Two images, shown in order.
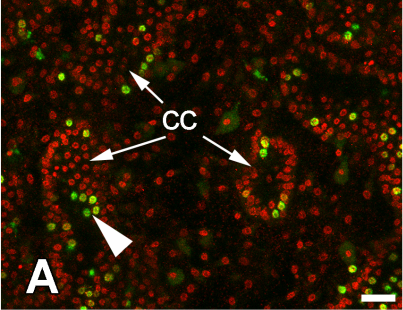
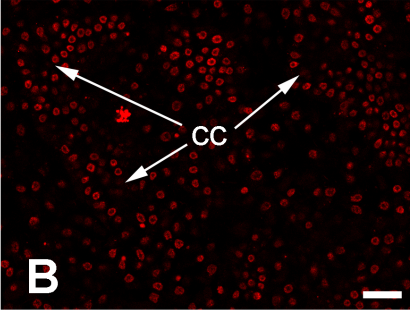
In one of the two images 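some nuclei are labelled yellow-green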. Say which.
The first image.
